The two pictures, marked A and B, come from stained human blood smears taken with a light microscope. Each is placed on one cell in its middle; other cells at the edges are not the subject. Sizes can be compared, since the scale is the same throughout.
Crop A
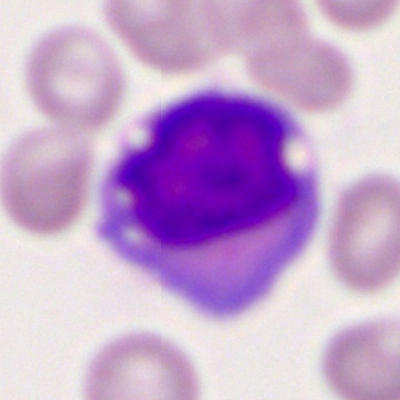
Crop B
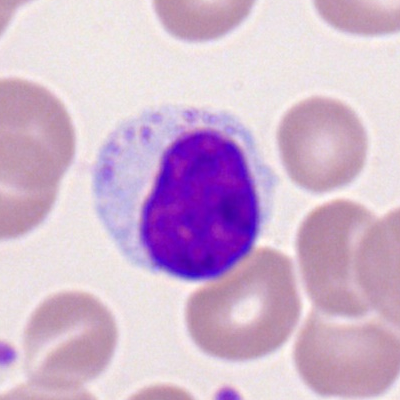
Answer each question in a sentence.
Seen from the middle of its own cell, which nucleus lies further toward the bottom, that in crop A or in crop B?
The nucleus in crop B lies further toward the bottom of its cell.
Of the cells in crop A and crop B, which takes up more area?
Crop A holds the larger cell; it covers about 1.5 times the area of the cell in crop B.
